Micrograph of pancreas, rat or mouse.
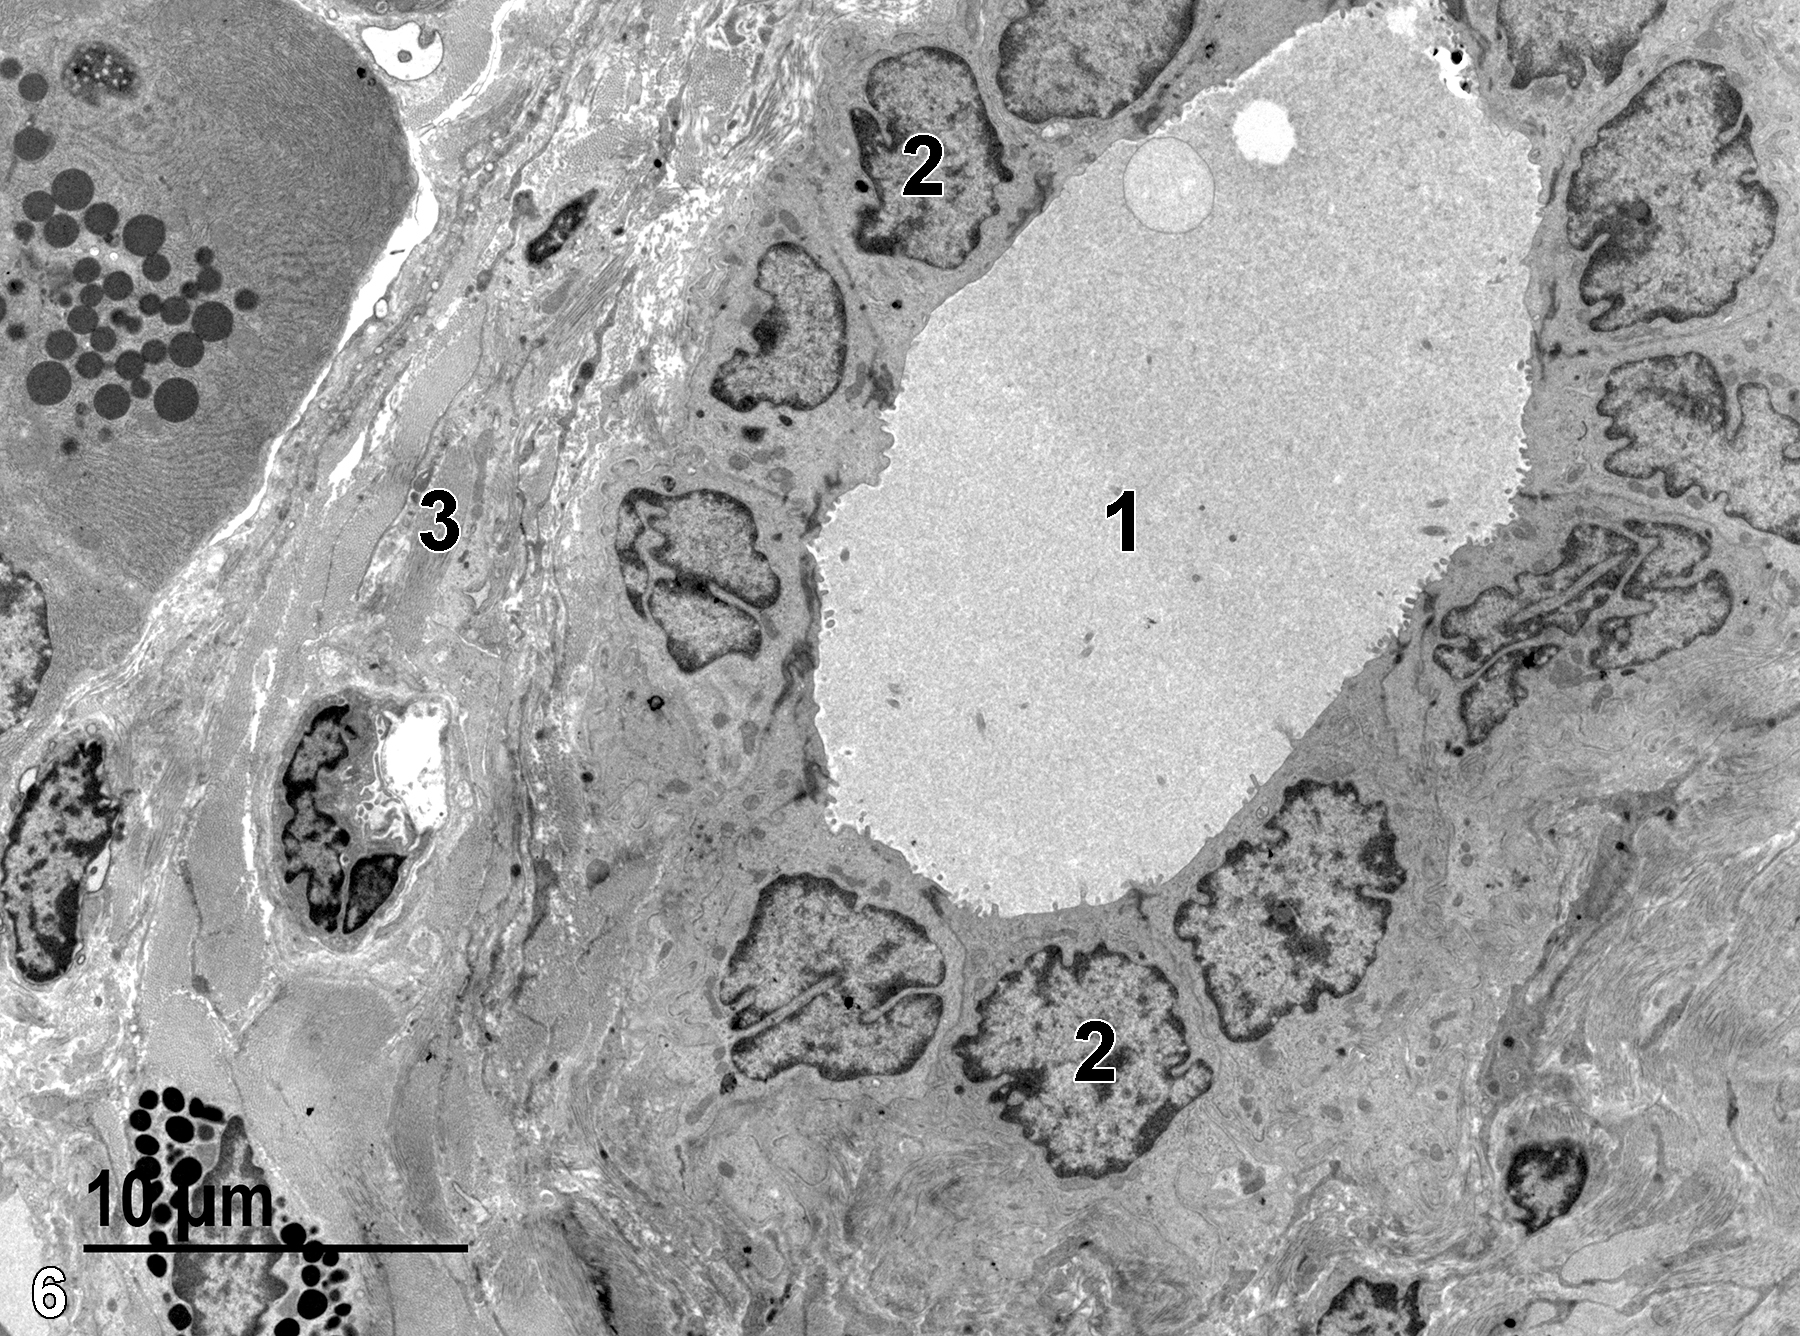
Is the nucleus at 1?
No, 1 marks the intralobular duct lumen.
